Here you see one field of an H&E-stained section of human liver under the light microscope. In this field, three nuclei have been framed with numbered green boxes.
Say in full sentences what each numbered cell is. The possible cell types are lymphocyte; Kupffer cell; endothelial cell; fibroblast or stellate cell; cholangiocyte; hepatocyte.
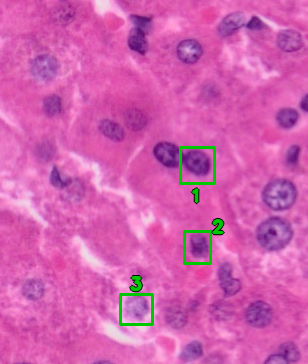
Cell 1 is a hepatocyte, cell 2 is a fibroblast or stellate cell and cell 3 is a hepatocyte.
